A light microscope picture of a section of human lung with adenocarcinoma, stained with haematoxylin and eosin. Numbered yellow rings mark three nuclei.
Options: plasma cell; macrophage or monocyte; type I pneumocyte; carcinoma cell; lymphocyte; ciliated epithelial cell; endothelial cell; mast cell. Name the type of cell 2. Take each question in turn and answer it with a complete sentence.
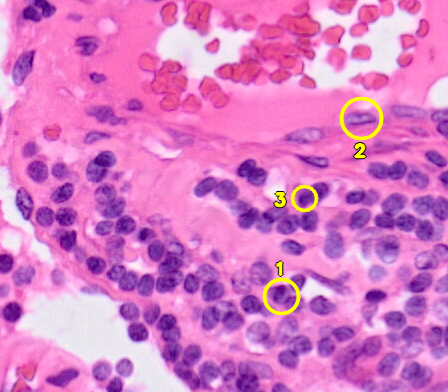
Denoted by the label 2 in the section is an endothelial cell.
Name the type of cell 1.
Of the numbered cells, the one labelled 1 is a lymphocyte.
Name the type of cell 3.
The cell given label 3 is a lymphocyte.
